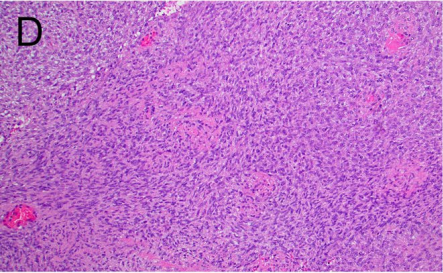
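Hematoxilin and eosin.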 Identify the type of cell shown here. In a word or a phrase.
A: densely packed spindle cells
